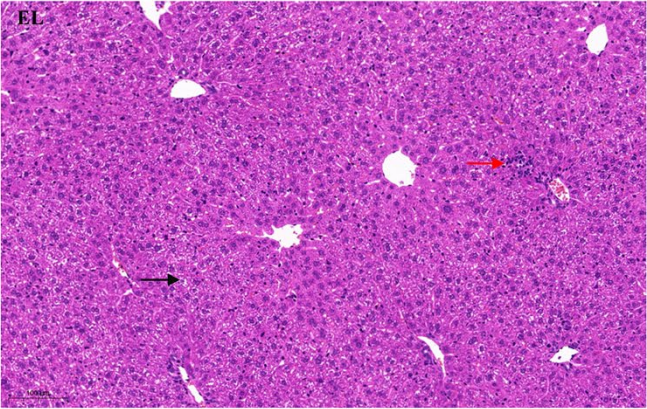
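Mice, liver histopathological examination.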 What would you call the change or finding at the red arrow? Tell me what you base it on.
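A small group of densely packed dark nuclei lies next to a small vessel. These nuclei are smaller and darker than the hepatocyte nuclei around them. So: inflammatory cell infiltration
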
